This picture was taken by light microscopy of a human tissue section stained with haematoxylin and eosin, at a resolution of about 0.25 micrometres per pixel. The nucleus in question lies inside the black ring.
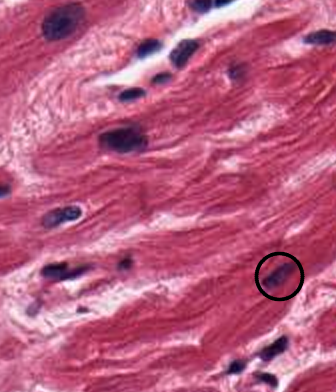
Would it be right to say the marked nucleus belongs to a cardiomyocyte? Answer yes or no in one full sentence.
Yes, it is a cardiomyocyte to which the marked nucleus belongs.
